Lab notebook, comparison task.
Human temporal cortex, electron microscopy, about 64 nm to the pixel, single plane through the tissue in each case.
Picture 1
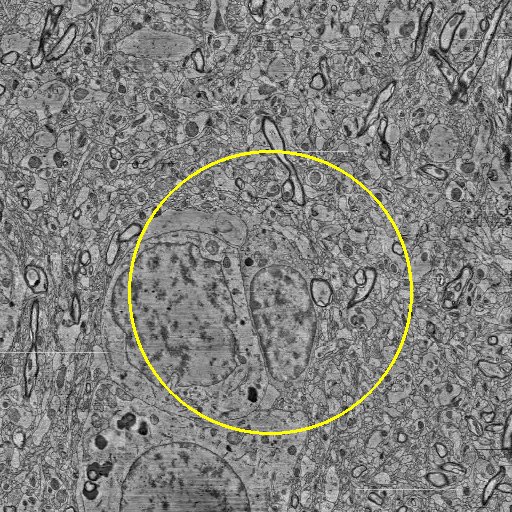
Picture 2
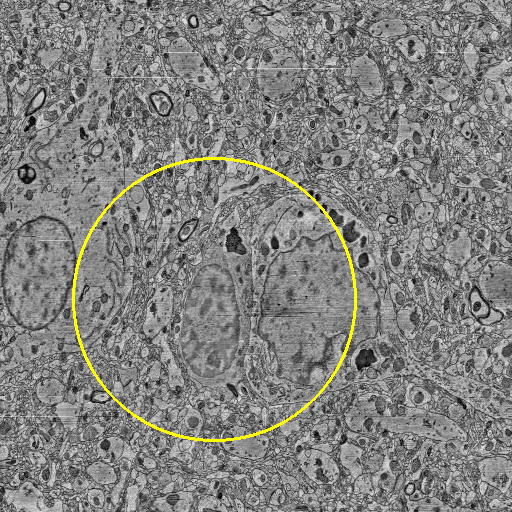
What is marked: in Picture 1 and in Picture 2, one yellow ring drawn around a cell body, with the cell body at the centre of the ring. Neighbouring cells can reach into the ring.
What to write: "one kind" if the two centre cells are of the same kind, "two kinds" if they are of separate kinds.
one kind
